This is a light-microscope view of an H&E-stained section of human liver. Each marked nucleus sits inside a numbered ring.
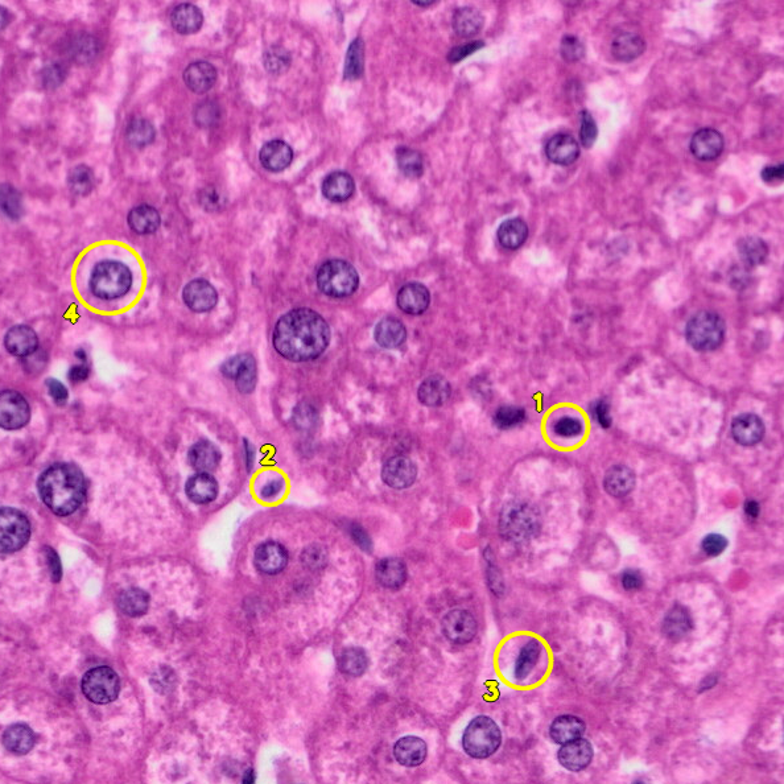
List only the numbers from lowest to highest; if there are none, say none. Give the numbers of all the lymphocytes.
1, 2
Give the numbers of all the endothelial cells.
3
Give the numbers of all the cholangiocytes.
none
